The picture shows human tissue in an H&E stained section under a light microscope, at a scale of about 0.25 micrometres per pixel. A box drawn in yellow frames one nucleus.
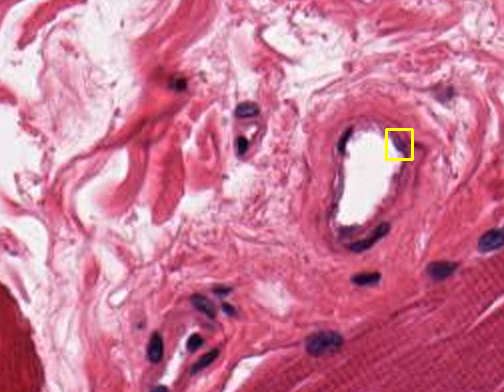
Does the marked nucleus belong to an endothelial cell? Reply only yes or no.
yes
